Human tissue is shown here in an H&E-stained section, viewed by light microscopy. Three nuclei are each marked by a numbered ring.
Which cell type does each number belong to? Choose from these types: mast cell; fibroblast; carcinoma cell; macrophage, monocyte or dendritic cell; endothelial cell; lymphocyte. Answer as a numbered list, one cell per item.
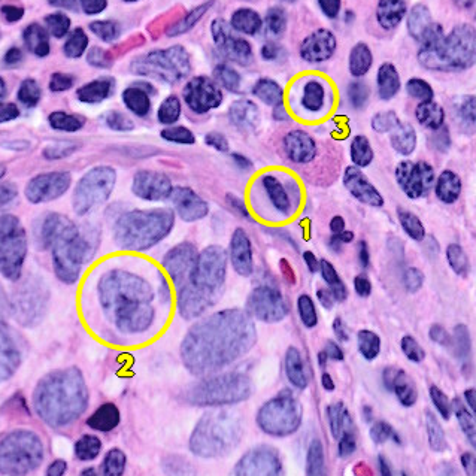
1. lymphocyte
2. carcinoma cell
3. lymphocyte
